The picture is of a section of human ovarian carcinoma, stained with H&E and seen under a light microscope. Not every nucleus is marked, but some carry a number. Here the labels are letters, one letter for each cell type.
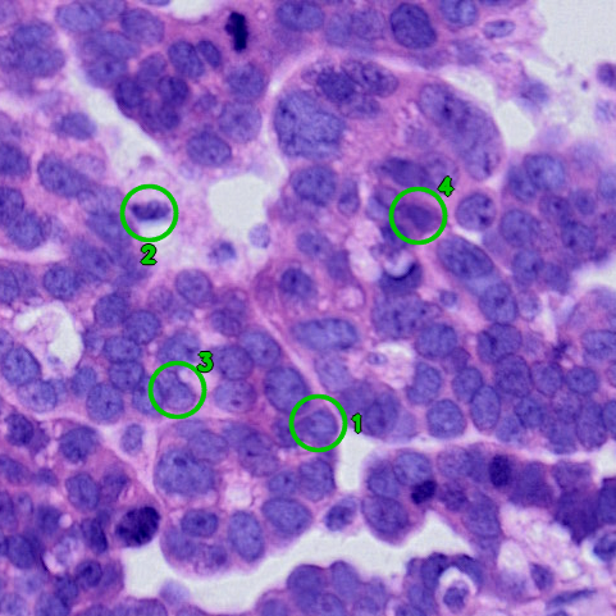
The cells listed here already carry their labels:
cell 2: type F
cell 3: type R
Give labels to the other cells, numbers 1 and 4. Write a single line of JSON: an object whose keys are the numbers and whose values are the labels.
{"1": "type R", "4": "type R"}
